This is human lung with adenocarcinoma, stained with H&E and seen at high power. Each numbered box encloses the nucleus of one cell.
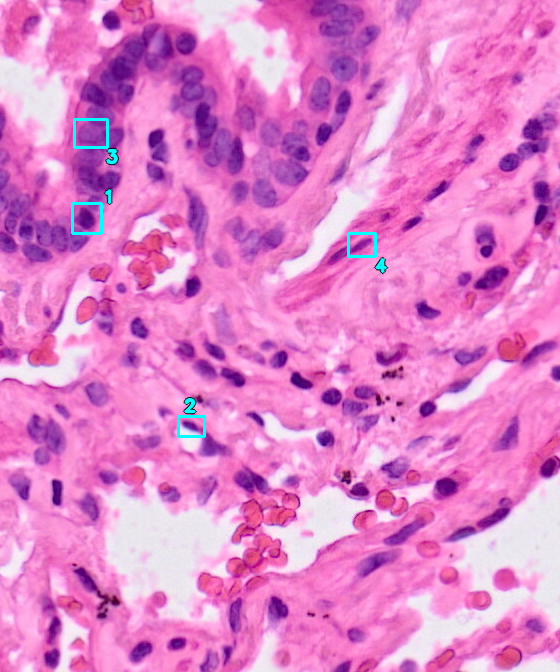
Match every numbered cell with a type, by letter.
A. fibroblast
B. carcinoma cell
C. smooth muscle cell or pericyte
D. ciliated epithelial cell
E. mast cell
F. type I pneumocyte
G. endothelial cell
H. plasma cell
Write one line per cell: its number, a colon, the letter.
1: D
2: G
3: D
4: C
